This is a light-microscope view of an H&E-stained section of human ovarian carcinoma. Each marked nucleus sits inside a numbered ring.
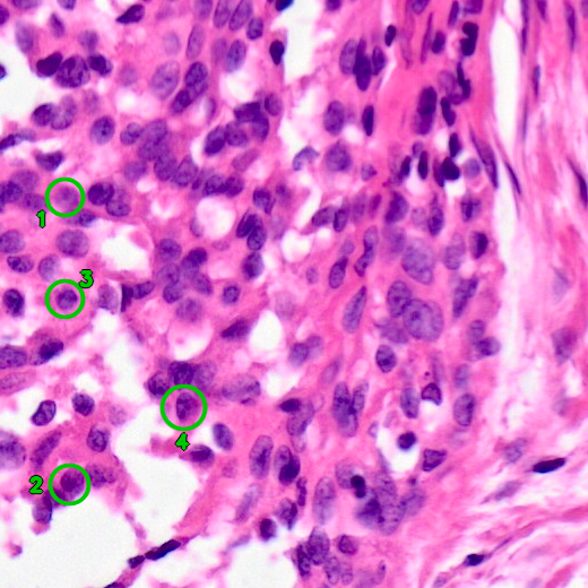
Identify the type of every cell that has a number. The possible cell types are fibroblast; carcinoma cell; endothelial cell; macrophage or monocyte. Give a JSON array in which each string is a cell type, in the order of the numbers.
["carcinoma cell", "carcinoma cell", "macrophage or monocyte", "carcinoma cell"]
